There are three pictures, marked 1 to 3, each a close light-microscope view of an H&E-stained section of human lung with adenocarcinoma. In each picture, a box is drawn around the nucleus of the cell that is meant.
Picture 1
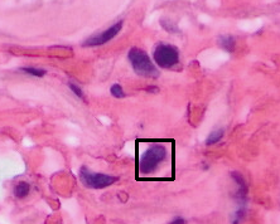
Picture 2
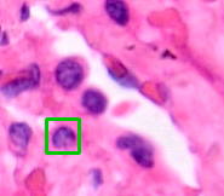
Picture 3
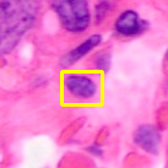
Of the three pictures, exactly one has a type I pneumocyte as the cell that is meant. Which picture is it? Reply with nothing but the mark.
1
